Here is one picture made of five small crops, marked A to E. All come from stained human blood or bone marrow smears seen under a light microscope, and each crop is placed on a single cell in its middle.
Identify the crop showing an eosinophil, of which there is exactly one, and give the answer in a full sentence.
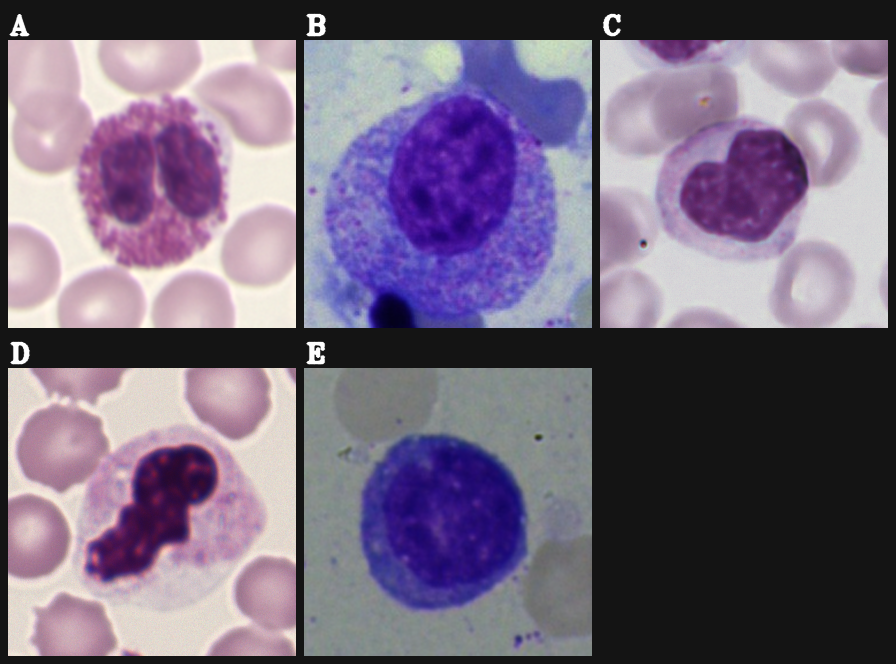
The crop that has an eosinophil in the middle is crop A.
